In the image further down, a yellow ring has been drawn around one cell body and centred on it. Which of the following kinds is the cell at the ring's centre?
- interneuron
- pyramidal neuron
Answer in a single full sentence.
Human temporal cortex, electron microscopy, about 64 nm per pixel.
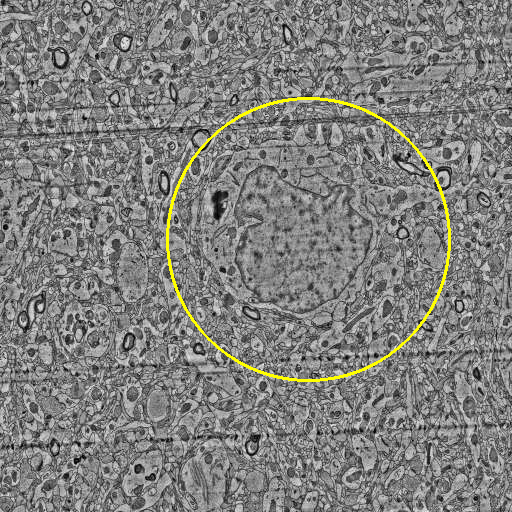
In the picture, the cell sitting at the centre of the yellow ring is an interneuron.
